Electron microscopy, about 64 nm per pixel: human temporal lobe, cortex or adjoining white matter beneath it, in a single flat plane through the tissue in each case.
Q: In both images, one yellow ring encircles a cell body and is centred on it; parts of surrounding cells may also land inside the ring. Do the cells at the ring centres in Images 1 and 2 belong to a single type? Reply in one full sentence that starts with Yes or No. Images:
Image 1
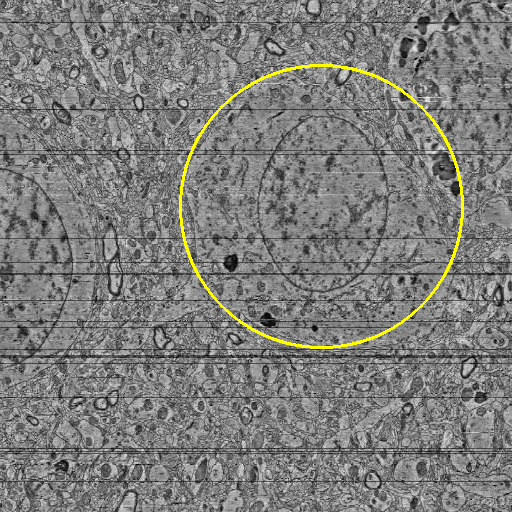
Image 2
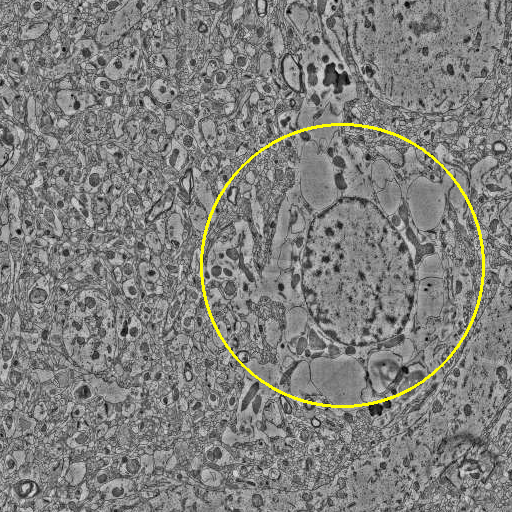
No, the cells at the ring centres in Images 1 and 2 are of two types.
